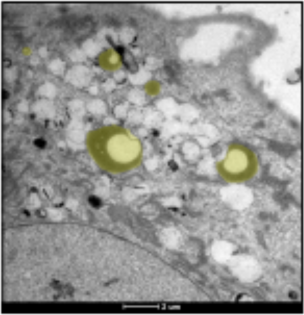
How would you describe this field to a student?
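The largest droplets show a lighter core surrounded by a darker rim. A dense cluster of many pale, clear round vacuoles fills the upper middle of the field next to the droplets. Small, very electron-dense black bodies lie scattered among them.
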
